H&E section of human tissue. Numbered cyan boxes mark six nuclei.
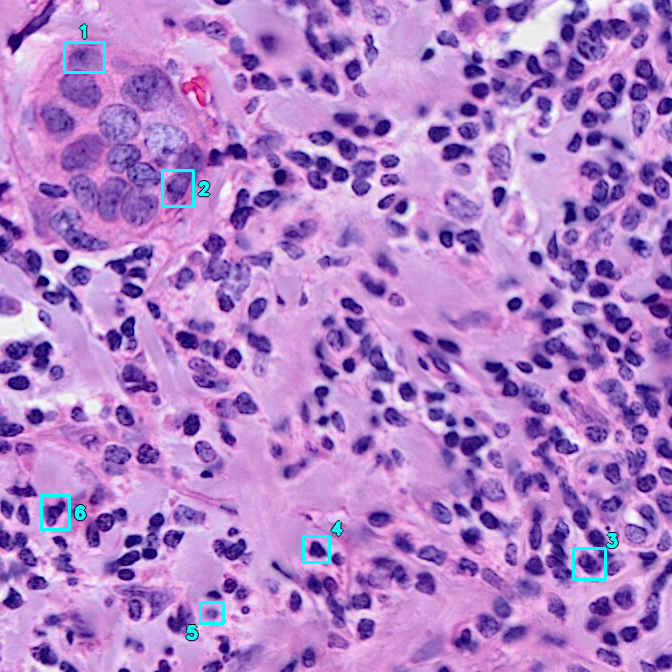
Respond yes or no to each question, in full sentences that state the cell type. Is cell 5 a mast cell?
Yes, the cell that number 5 points to is a mast cell.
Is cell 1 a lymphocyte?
No, number 1 identifies a carcinoma cell, not a lymphocyte.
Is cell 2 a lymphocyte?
No, number 2 does not mark a lymphocyte; it marks a carcinoma cell.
